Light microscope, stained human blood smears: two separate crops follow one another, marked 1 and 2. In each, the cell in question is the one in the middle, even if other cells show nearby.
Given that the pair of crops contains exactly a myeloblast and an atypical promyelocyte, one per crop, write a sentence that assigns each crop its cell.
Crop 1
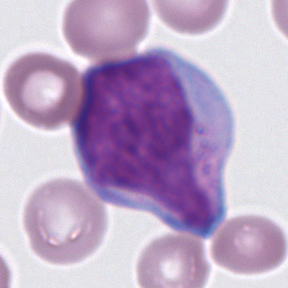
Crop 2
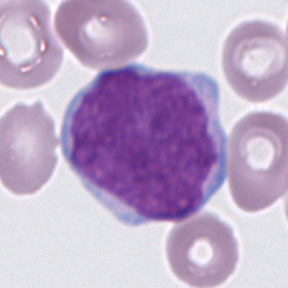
In crop 1, an atypical promyelocyte is present; in crop 2, a myeloblast is present.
